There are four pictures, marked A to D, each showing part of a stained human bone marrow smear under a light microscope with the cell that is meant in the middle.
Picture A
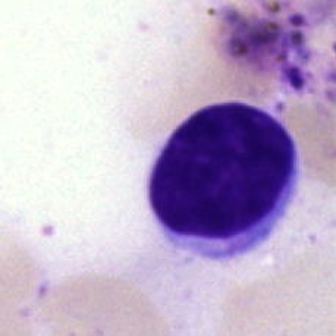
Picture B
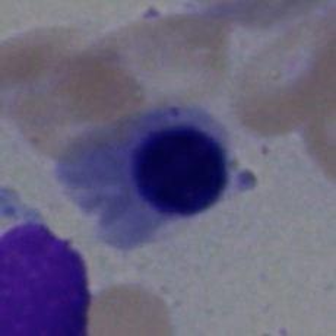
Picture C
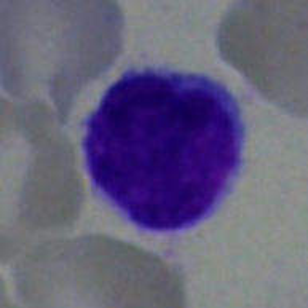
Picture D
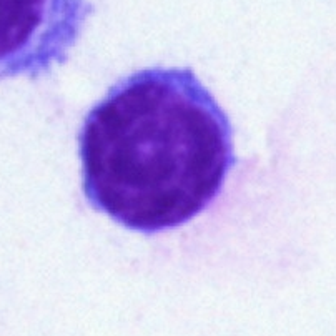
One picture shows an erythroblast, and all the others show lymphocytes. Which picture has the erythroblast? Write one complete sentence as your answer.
The cell in picture B is the erythroblast.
